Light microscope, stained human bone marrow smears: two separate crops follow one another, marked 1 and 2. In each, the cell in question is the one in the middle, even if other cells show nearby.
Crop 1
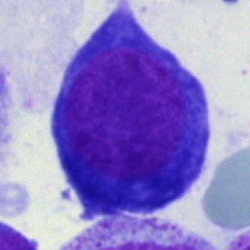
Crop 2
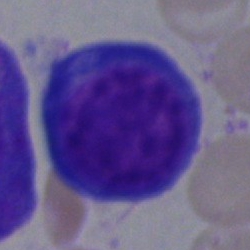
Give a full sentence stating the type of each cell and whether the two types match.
Yes, what both crops show at their centres are proerythroblasts.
